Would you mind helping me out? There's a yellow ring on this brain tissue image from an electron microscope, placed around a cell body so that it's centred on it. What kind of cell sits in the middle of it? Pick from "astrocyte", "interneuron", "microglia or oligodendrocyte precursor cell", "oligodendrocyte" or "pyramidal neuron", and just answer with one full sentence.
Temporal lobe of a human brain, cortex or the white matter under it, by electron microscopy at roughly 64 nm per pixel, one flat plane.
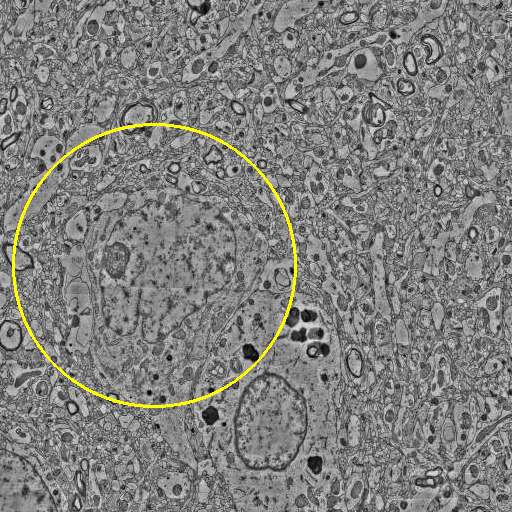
What sits in the middle of that yellow ring is an interneuron, from your choices.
